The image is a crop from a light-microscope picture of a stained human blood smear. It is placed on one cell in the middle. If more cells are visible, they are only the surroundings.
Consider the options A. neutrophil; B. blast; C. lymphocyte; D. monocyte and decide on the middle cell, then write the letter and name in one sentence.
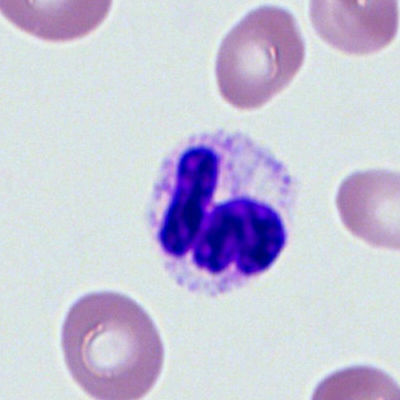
Option A is right, the centrally situated cell being a neutrophil.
